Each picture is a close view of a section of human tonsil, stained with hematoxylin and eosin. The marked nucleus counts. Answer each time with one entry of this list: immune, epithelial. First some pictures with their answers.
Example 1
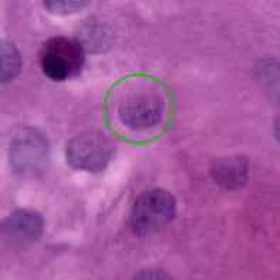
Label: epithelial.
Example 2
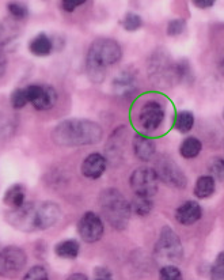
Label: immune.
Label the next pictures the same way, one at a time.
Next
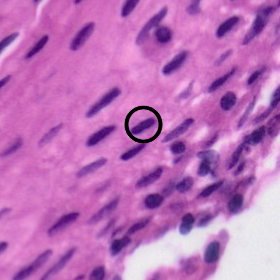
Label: epithelial.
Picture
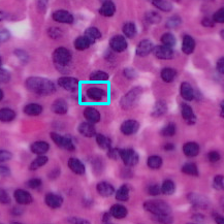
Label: immune.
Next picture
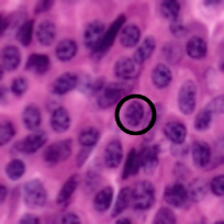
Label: immune.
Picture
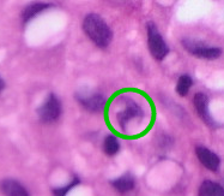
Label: epithelial.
